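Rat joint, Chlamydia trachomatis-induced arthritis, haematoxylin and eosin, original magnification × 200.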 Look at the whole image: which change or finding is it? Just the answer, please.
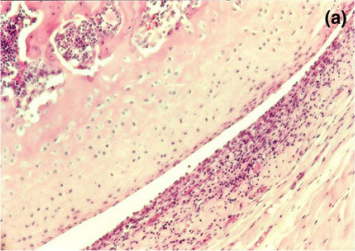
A: Mononuclear cell infiltration.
